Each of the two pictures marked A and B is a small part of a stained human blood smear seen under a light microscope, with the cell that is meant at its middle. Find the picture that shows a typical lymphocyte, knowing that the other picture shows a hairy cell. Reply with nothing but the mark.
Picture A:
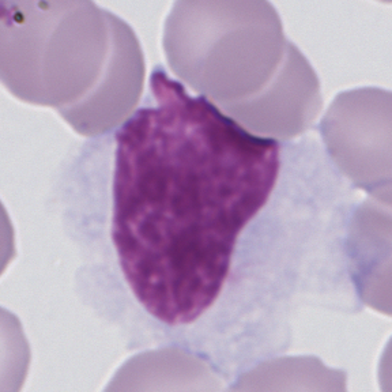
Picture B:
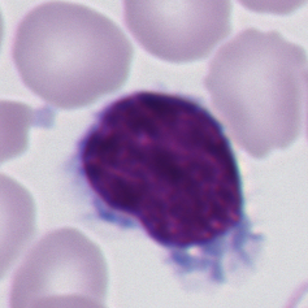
B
